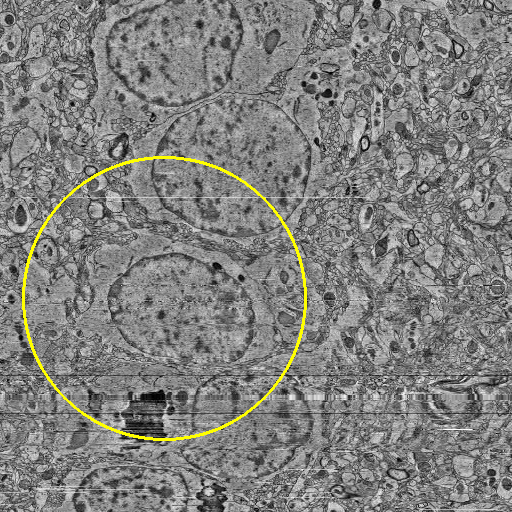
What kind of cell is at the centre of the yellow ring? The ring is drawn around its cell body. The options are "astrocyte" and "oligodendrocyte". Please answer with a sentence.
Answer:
The yellow ring marks the cell body of an astrocyte.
